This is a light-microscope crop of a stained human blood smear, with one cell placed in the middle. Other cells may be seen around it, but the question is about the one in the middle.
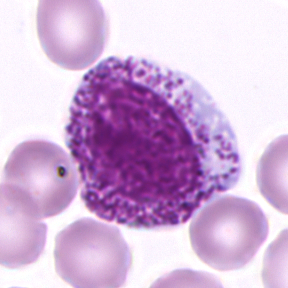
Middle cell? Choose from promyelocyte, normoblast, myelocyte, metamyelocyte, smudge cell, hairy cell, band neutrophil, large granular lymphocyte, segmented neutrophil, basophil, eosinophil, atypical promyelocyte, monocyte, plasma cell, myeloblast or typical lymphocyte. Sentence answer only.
The middle of this crop is occupied by a myelocyte.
